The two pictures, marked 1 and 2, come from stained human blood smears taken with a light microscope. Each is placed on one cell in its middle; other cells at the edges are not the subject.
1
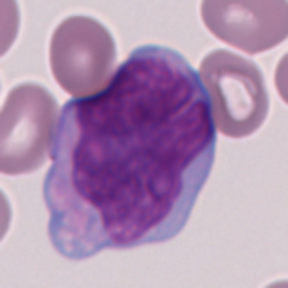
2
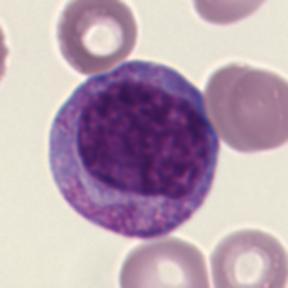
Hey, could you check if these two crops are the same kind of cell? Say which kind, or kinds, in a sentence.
Yes, both crops show atypical promyelocytes as the central cells.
